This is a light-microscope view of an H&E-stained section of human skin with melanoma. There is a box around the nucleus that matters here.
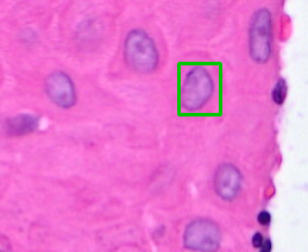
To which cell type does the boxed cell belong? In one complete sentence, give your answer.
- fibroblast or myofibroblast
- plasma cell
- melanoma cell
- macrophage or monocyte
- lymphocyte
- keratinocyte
Placed in its cell category, the boxed cell is a keratinocyte.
